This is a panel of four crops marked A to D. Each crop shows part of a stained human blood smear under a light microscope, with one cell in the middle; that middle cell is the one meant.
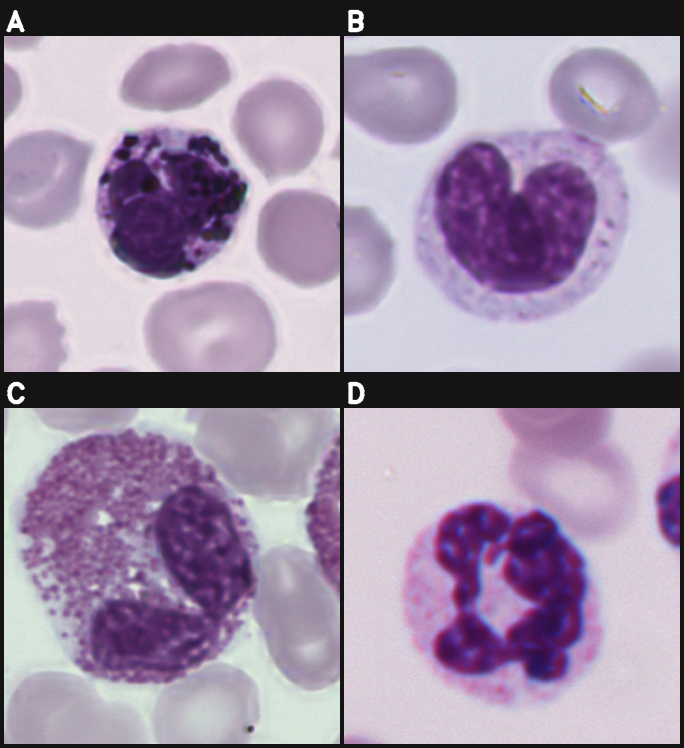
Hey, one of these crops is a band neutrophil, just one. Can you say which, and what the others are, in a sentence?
Crop B presents a band neutrophil at its centre, whereas crop A is a basophil, crop C is an eosinophil and crop D is a segmented neutrophil.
